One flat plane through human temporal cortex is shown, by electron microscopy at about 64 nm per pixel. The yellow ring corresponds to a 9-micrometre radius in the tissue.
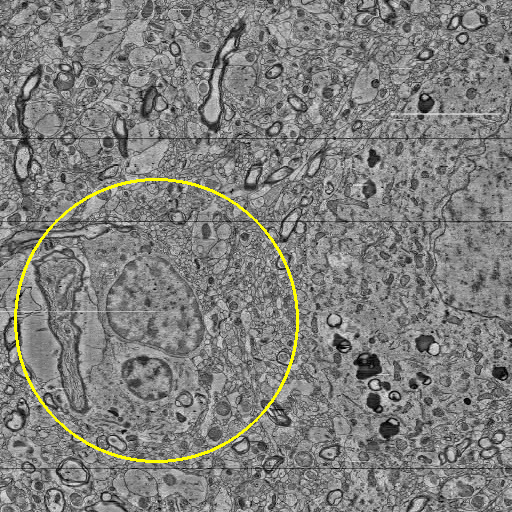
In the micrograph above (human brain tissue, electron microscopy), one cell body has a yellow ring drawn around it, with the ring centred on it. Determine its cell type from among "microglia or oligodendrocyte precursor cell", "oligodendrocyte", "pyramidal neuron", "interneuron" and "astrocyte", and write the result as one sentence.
The cell whose body is ringed is an oligodendrocyte.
